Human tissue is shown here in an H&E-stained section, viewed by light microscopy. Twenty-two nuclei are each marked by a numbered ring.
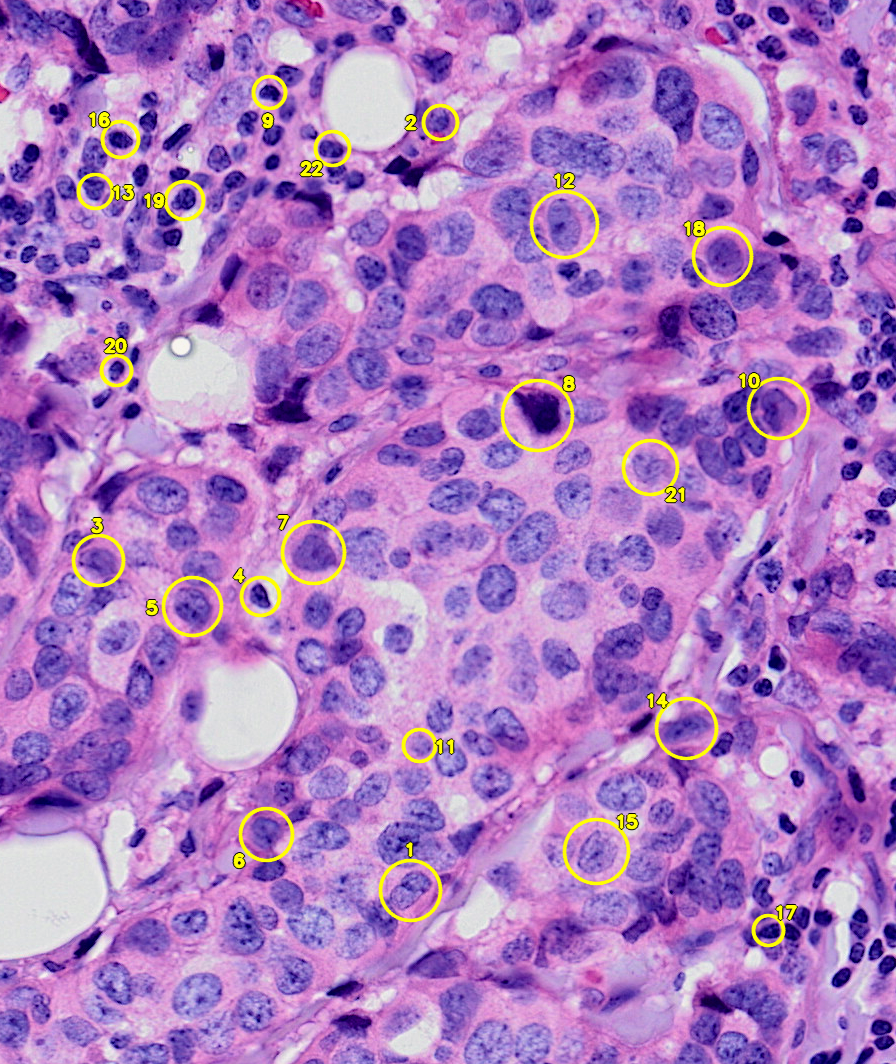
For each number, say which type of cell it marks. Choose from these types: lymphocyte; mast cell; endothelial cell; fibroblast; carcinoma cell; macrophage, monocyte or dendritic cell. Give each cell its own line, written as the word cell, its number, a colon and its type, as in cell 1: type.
cell 1: carcinoma cell
cell 2: endothelial cell
cell 3: carcinoma cell
cell 4: lymphocyte
cell 5: carcinoma cell
cell 6: carcinoma cell
cell 7: carcinoma cell
cell 8: carcinoma cell
cell 9: lymphocyte
cell 10: carcinoma cell
cell 11: carcinoma cell
cell 12: carcinoma cell
cell 13: lymphocyte
cell 14: endothelial cell
cell 15: carcinoma cell
cell 16: lymphocyte
cell 17: lymphocyte
cell 18: carcinoma cell
cell 19: lymphocyte
cell 20: lymphocyte
cell 21: carcinoma cell
cell 22: lymphocyte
